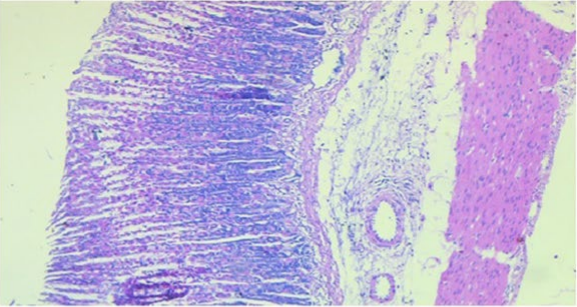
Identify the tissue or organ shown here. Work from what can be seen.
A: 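Gastric mucosa. Tall, closely packed glands run in parallel from the free surface toward a deeper layer. A loose, pale connective-tissue layer with vessels lies beneath the glandular layer. A band of pink muscle lies at the far side of the section.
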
